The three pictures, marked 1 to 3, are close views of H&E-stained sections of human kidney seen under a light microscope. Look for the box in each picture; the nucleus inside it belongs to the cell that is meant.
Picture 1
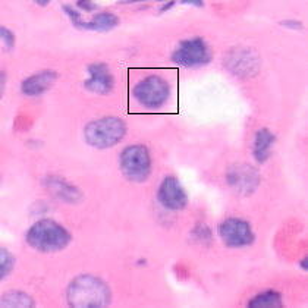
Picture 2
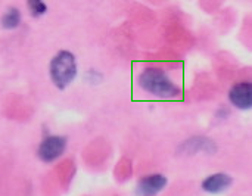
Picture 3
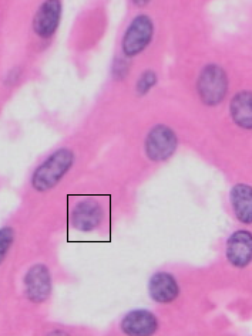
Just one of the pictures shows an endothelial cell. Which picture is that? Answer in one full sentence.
The endothelial cell is the one in picture 2.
